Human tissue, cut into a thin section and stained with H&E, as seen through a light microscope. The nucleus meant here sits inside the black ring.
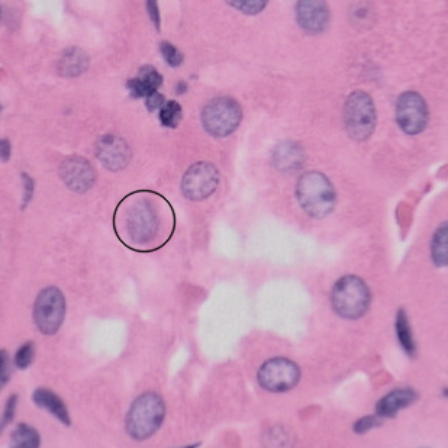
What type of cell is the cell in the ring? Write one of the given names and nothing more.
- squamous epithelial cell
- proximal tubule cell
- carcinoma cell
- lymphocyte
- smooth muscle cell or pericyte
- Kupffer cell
proximal tubule cell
